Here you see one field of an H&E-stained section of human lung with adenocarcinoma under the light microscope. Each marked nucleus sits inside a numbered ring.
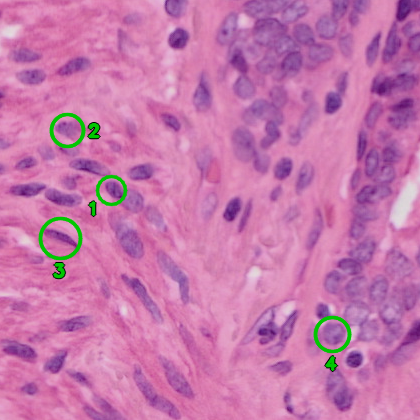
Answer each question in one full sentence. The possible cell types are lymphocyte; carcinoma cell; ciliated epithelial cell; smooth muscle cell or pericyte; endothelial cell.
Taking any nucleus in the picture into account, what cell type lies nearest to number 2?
The cell nearest to number 2 is a smooth muscle cell or pericyte.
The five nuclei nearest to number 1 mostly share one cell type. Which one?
Around number 1, most of the five nearest nuclei are those of smooth muscle cells or pericytes.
